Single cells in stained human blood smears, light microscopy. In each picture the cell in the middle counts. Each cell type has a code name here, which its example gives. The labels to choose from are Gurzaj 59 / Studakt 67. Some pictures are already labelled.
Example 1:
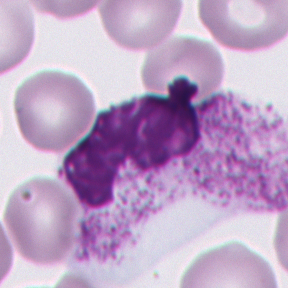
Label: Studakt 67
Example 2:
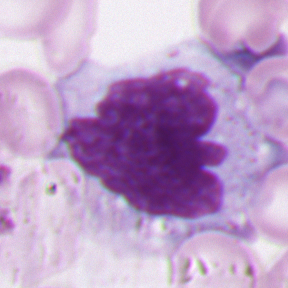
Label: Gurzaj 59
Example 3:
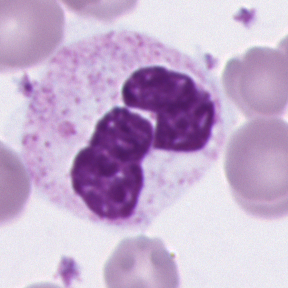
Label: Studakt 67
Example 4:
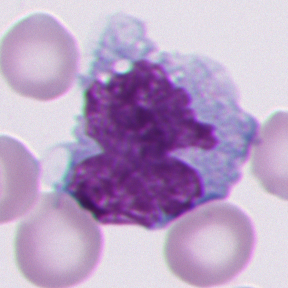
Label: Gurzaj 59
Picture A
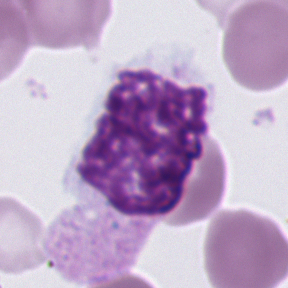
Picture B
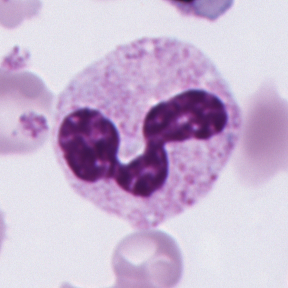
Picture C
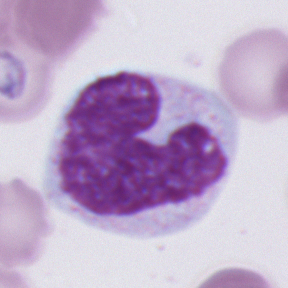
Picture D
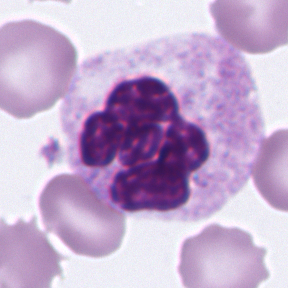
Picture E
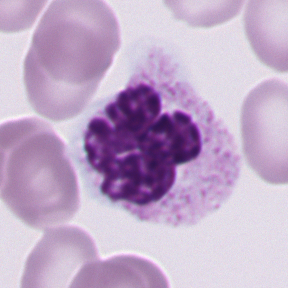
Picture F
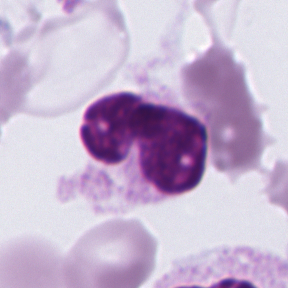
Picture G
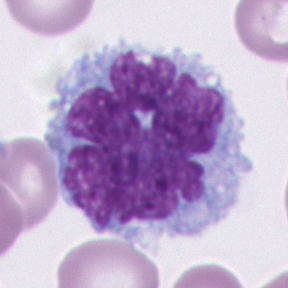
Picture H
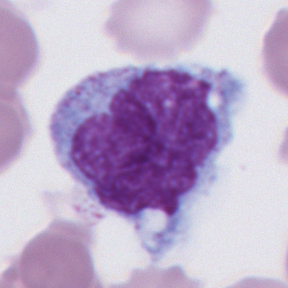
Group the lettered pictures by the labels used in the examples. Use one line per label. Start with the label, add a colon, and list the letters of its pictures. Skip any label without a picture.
Gurzaj 59: C, G, H
Studakt 67: A, B, D, E, F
